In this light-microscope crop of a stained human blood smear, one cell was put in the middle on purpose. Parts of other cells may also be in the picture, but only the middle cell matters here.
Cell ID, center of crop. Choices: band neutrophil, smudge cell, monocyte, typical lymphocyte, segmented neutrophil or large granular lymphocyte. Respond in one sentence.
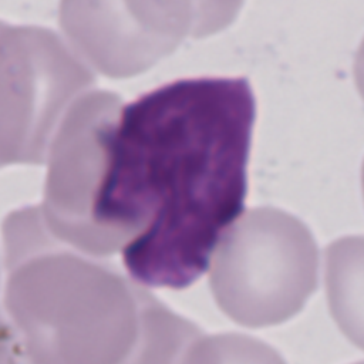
The centrally placed cell is classified as a smudge cell.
